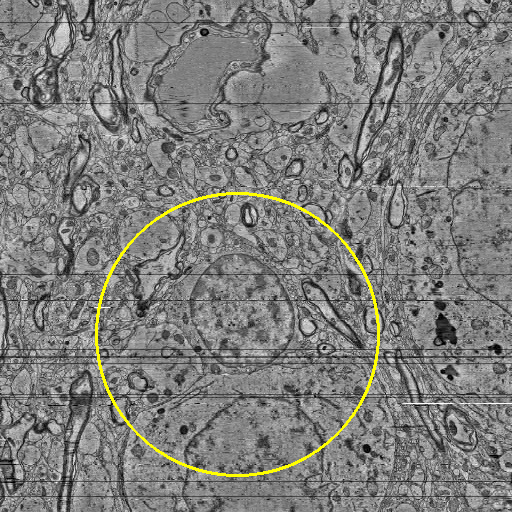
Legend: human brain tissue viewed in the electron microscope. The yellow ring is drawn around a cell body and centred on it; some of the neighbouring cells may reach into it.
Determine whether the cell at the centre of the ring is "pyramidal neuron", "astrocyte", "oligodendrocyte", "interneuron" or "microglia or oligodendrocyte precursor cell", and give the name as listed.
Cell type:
oligodendrocyte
